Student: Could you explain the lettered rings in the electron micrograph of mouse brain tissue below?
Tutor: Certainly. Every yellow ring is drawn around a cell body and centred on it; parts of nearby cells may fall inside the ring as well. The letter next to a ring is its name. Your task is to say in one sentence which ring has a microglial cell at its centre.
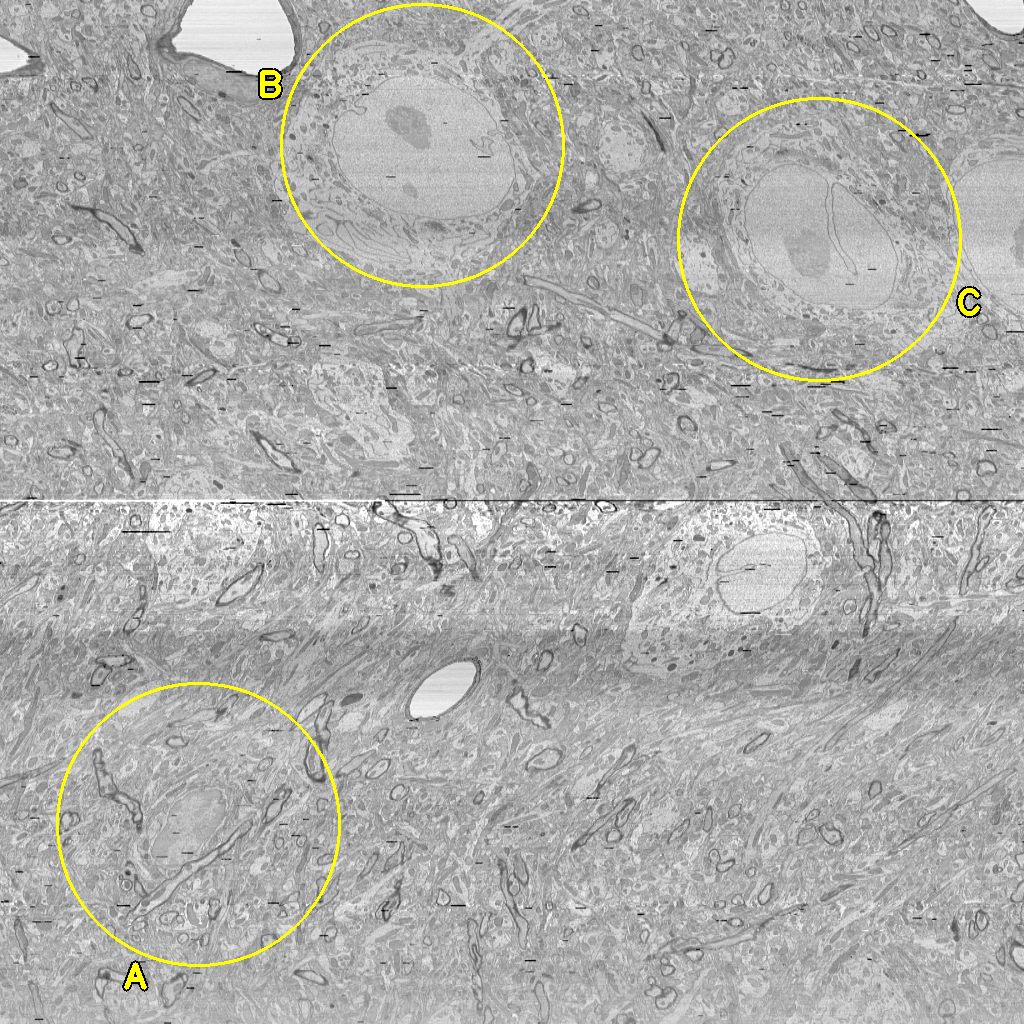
The cell at the centre of ring A is the one.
